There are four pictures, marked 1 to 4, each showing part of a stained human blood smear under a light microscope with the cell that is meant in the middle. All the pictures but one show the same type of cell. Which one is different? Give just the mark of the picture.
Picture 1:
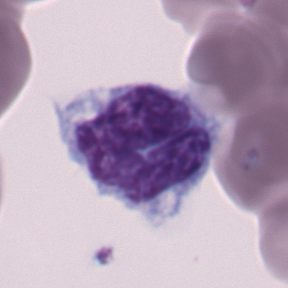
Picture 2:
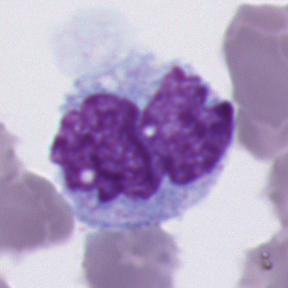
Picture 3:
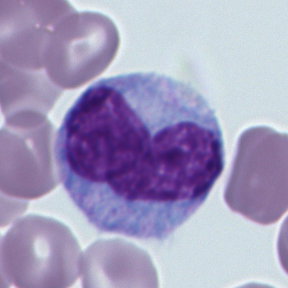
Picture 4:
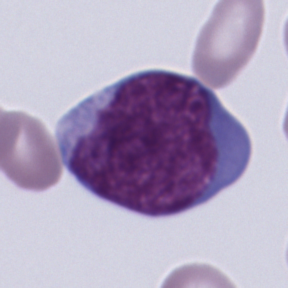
4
